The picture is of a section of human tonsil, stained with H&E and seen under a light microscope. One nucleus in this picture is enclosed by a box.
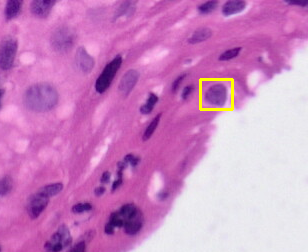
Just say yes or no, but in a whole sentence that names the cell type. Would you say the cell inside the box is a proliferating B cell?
No, the cell inside the box is not a proliferating B cell; a squamous epithelial cell is what it is.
